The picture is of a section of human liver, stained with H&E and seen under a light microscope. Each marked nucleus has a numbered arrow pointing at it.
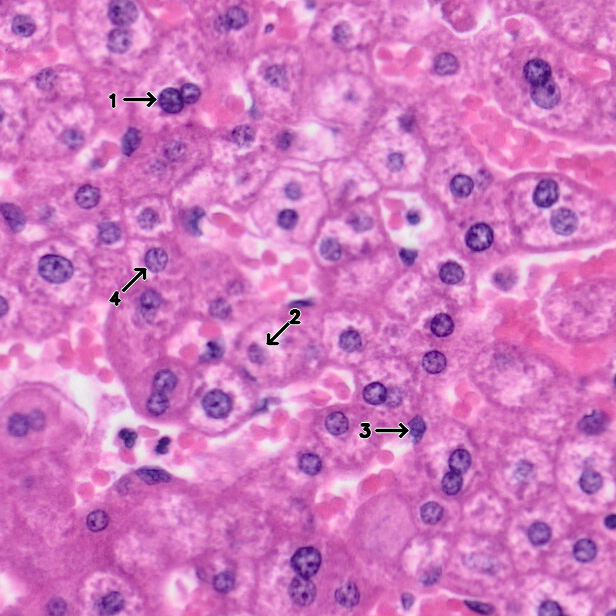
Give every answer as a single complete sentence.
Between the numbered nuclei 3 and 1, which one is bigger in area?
The larger nucleus is 1, at roughly 1.5 times the area of 3.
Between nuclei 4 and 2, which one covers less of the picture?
Nucleus 2 covers less area, with nucleus 4 about 1.5 times as large.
